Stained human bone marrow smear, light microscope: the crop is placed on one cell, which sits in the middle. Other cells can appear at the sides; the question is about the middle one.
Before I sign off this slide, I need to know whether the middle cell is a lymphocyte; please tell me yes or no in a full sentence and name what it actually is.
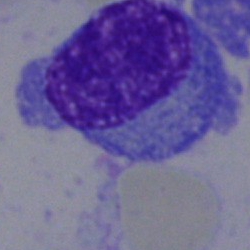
No, the centrally located cell is a plasma cell rather than a lymphocyte.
